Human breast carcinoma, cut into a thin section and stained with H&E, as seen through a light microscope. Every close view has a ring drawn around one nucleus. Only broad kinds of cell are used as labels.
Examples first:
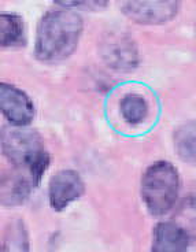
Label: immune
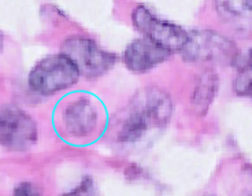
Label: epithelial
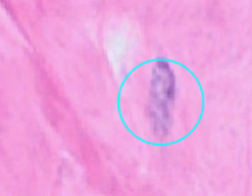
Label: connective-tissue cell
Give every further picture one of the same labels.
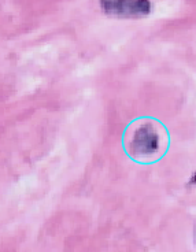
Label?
immune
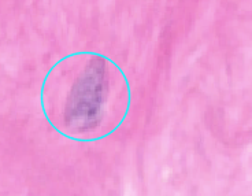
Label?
connective-tissue cell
